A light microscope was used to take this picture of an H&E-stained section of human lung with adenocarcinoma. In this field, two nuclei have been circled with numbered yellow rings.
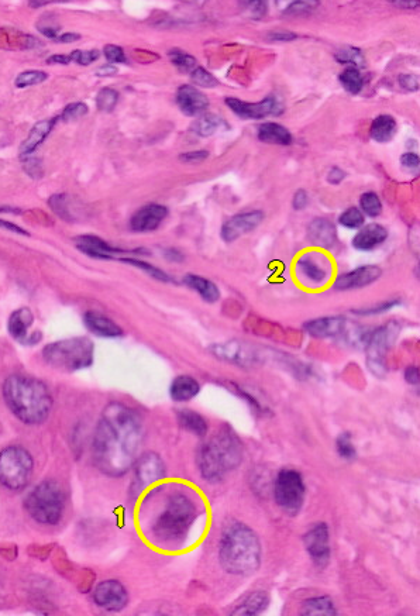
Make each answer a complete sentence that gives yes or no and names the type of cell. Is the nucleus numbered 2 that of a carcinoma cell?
No, the cell denoted 2 is a lymphocyte rather than a carcinoma cell.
